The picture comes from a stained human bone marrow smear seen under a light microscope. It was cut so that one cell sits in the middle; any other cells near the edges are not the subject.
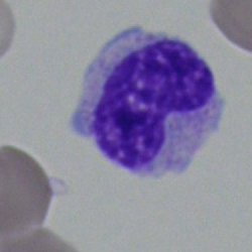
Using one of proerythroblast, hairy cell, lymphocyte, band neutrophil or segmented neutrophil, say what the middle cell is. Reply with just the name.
band neutrophil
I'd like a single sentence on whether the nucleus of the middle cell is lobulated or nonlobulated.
Just one compact nuclear mass here, round, oval or kidney-shaped.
